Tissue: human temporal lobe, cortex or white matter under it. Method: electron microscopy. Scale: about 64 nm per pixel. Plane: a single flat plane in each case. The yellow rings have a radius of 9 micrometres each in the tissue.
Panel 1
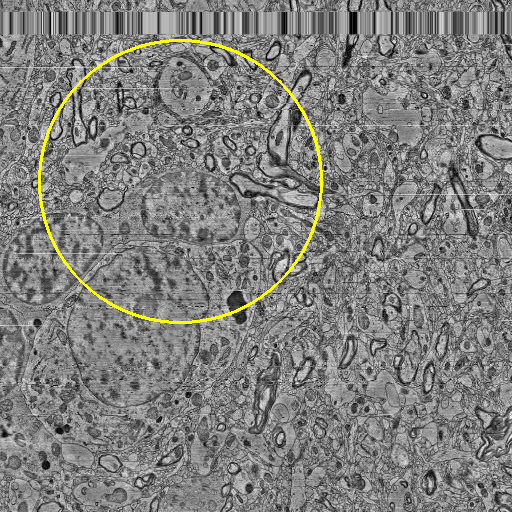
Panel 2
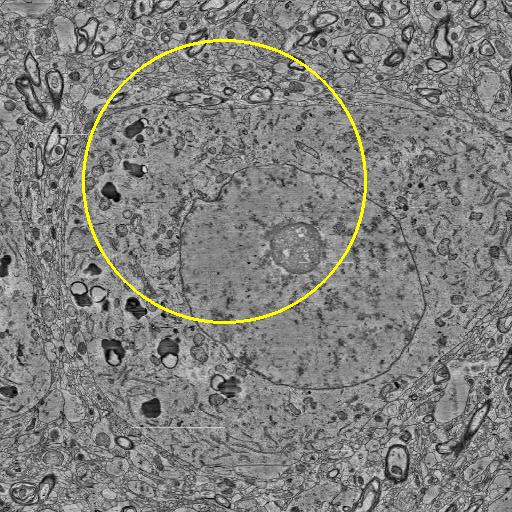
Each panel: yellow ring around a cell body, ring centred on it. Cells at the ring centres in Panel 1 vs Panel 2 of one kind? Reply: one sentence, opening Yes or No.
No, Panel 1 and Panel 2 have cells of two kinds at the ring centres.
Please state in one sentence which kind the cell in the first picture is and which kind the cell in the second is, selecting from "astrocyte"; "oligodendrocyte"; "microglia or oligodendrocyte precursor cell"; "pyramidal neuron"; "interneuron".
The first ringed cell is an oligodendrocyte, the second ringed cell a pyramidal neuron.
